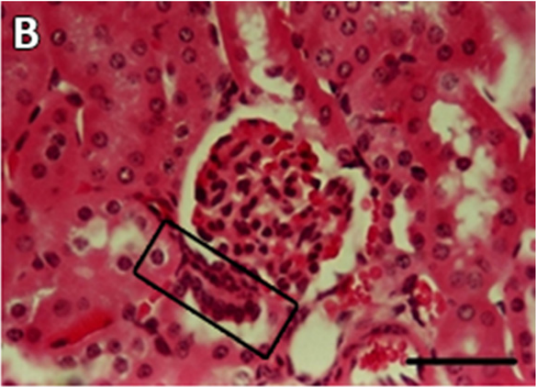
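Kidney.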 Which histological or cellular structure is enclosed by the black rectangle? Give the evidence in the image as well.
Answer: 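Inside the rectangle, dark elongated nuclei are crowded closely together. The crowded cells lie right beside the rounded tuft.
Conclusion: macula densa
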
